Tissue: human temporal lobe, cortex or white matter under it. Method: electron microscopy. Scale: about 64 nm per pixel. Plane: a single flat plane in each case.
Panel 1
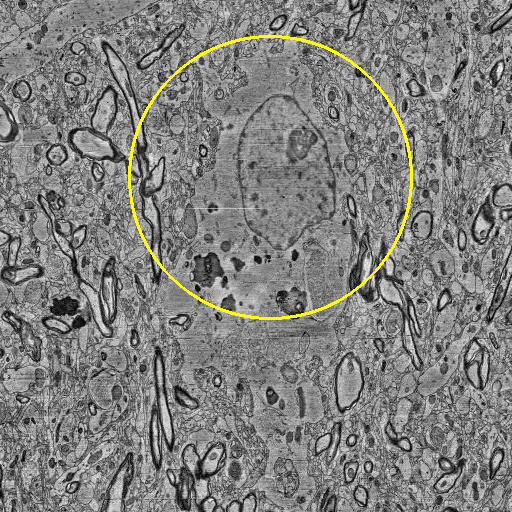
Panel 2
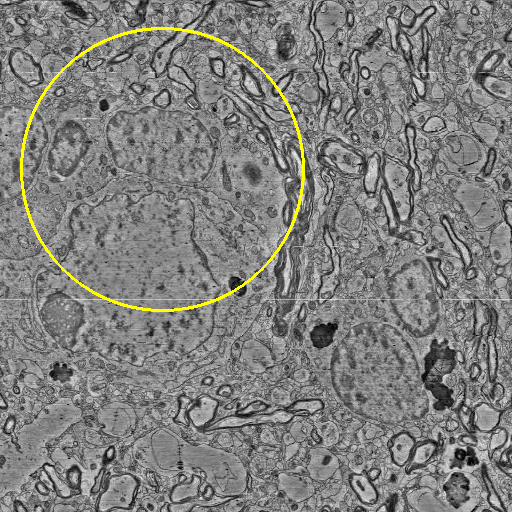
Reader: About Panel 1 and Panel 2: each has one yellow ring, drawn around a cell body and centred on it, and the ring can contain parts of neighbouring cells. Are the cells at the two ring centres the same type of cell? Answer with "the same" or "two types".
two types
